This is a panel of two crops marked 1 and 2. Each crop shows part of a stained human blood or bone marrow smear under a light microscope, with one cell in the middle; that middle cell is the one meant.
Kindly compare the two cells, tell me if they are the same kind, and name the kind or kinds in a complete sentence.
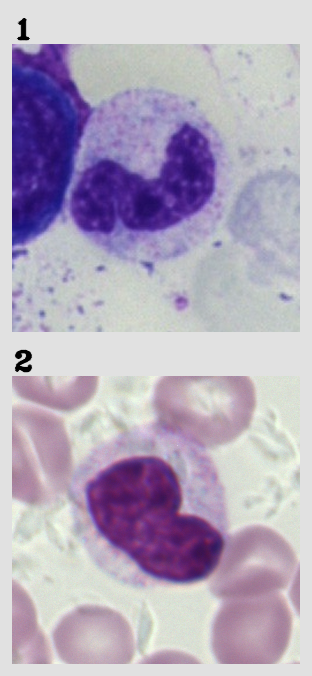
Yes, both crops here show band neutrophils, the pair of them.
